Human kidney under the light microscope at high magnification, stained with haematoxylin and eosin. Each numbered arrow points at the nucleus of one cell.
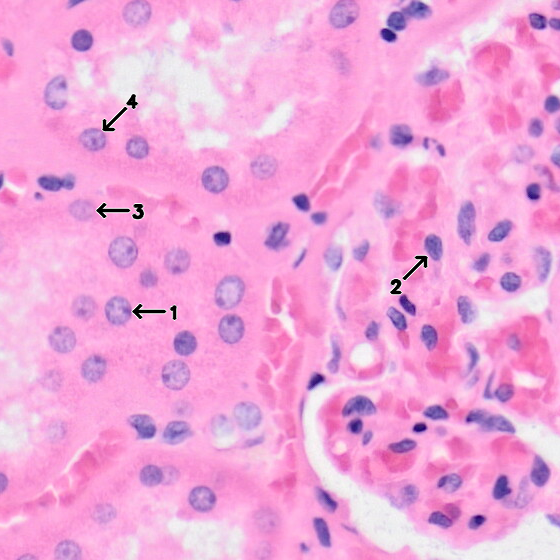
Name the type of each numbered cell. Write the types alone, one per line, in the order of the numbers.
proximal tubule cell
endothelial cell
proximal tubule cell
proximal tubule cell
